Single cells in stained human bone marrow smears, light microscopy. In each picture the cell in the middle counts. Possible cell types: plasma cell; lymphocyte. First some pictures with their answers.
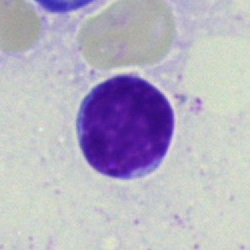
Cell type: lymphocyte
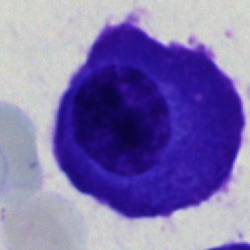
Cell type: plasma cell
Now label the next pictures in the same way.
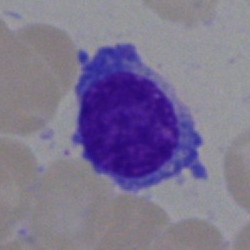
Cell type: plasma cell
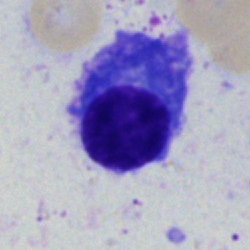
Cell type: plasma cell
